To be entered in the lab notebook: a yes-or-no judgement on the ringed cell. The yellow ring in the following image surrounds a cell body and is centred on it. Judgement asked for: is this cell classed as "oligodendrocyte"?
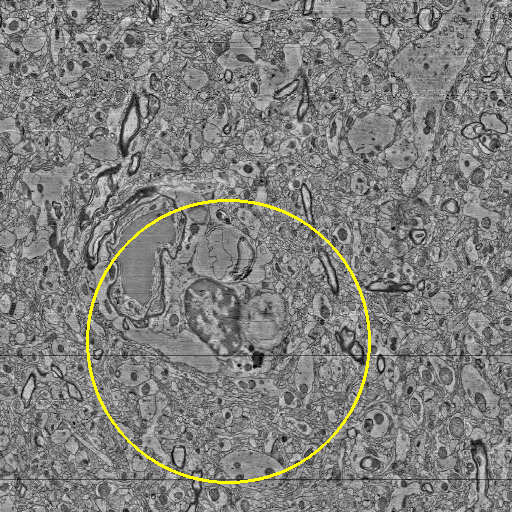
No, it falls in another class.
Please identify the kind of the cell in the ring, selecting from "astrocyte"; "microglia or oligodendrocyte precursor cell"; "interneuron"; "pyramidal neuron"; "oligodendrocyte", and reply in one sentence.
Instead, the ring in this picture marks a microglial cell or oligodendrocyte precursor cell.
